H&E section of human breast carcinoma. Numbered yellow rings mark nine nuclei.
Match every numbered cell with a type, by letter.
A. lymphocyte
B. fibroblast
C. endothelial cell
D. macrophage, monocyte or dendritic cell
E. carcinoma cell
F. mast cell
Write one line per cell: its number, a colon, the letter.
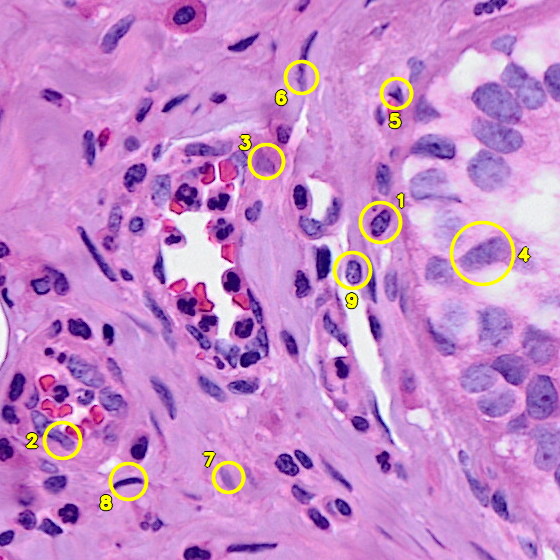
1: F
2: C
3: C
4: E
5: C
6: B
7: B
8: B
9: D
